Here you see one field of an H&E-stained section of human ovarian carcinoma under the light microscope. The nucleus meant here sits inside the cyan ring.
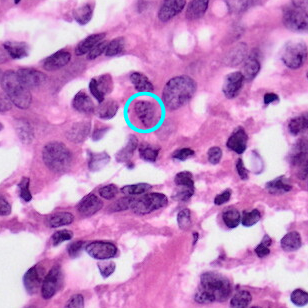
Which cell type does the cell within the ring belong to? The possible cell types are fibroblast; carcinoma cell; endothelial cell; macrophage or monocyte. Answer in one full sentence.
The identity of the cell within the ring is that of a carcinoma cell.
